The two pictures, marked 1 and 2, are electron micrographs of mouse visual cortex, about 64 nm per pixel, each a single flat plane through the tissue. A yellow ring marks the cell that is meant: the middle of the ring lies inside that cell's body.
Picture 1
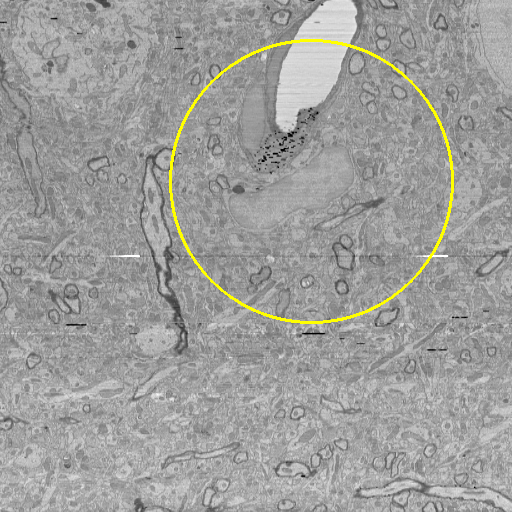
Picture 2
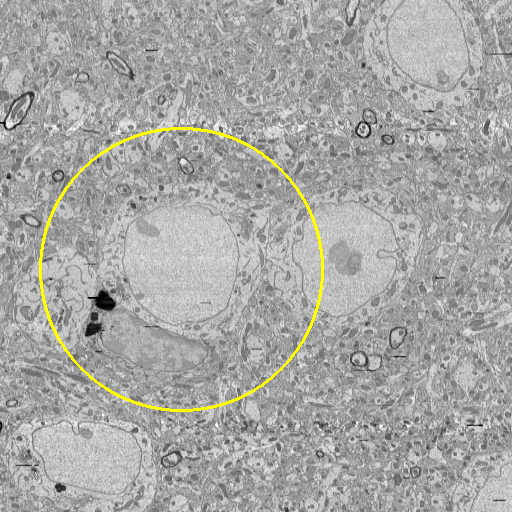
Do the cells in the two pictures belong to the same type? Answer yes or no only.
no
